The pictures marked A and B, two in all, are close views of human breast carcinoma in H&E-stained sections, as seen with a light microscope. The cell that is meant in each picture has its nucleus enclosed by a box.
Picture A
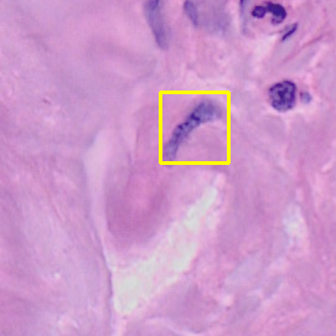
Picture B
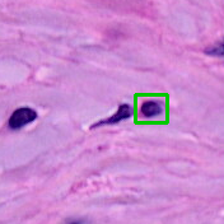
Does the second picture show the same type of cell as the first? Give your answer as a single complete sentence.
No. Picture A shows a fibroblast, but picture B shows a mast cell.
